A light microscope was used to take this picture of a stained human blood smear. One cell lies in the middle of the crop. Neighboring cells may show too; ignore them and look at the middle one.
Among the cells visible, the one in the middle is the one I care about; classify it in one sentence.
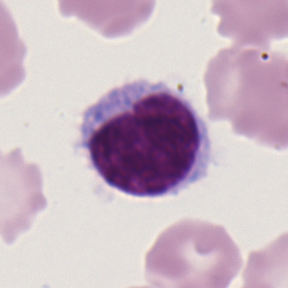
Looking at the middle of the crop, the cell there is a hairy cell.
